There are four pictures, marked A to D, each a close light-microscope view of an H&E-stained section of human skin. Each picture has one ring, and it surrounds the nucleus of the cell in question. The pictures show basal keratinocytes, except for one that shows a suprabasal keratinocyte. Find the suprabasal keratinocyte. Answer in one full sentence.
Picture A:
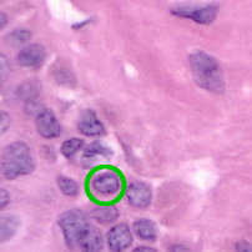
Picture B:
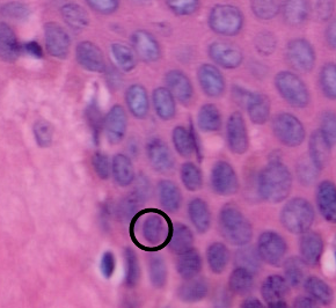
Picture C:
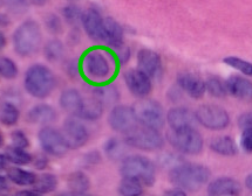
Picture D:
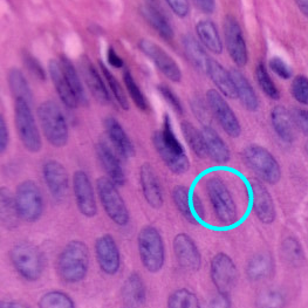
The suprabasal keratinocyte is the one in picture D.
